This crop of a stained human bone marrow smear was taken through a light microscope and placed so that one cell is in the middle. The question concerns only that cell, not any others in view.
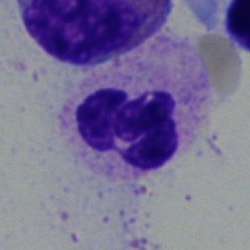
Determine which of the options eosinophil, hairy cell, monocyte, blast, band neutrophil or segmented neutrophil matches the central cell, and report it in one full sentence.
The cell of interest, located centrally, is a segmented neutrophil.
